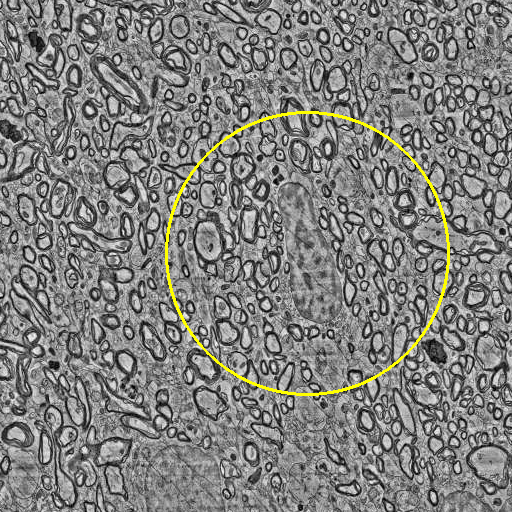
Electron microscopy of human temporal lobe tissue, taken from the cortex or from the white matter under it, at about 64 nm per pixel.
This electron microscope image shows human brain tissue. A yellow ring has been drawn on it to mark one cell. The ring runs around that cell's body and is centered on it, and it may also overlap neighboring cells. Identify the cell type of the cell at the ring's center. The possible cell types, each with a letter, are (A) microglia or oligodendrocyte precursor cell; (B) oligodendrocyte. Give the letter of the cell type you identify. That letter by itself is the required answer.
A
